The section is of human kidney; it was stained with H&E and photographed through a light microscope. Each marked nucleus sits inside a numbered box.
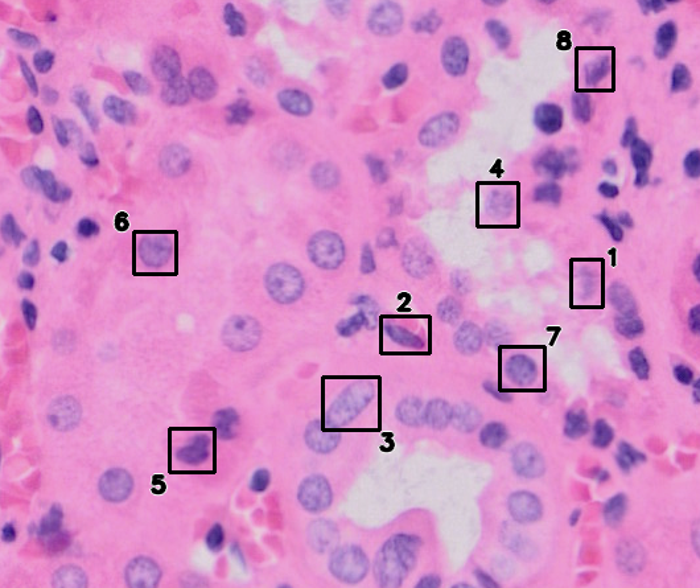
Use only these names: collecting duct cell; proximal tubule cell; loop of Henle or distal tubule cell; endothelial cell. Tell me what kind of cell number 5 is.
proximal tubule cell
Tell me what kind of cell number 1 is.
loop of Henle or distal tubule cell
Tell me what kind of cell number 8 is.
loop of Henle or distal tubule cell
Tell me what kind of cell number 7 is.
loop of Henle or distal tubule cell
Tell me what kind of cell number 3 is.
collecting duct cell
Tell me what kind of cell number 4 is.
loop of Henle or distal tubule cell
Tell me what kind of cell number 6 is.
proximal tubule cell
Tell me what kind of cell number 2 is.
endothelial cell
